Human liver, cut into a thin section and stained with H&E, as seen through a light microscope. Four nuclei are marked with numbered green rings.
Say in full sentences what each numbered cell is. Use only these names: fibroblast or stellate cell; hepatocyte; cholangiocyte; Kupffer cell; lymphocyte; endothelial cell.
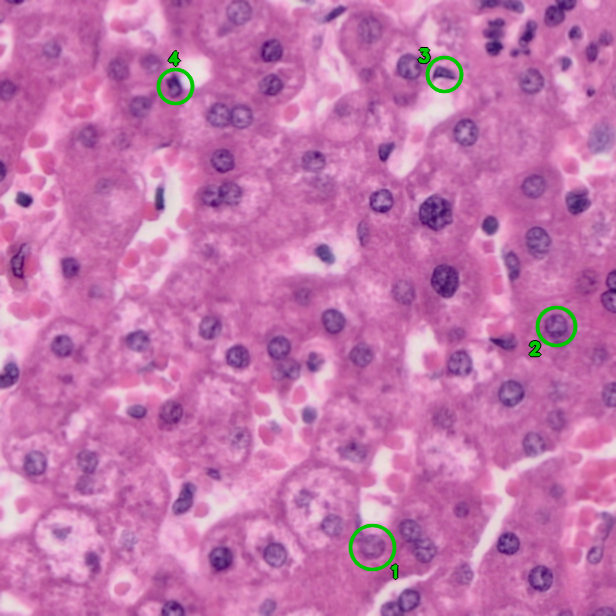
Cell 1 is a hepatocyte, cell 2 is a hepatocyte, cell 3 is an endothelial cell and cell 4 is a fibroblast or stellate cell.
